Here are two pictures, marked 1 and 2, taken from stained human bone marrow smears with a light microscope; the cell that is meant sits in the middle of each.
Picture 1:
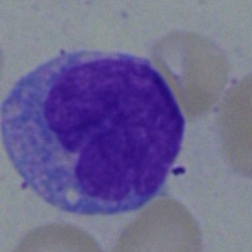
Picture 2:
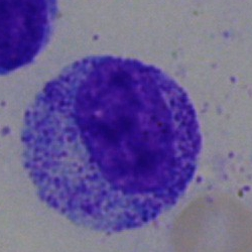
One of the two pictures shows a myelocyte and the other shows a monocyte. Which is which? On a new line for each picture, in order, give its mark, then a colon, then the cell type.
1: monocyte
2: myelocyte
